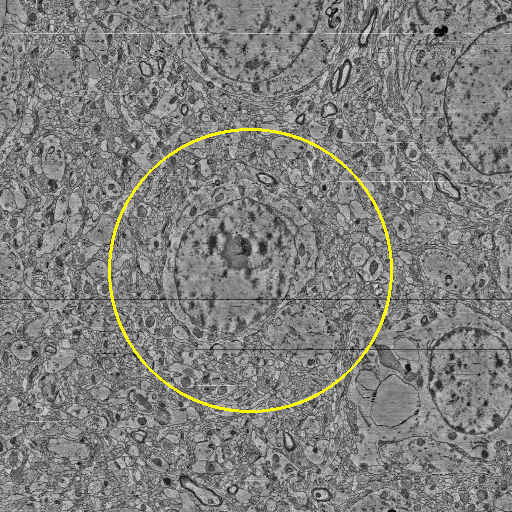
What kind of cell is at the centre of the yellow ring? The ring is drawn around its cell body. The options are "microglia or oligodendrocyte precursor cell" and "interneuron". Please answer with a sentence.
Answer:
The yellow ring marks the cell body of an interneuron.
